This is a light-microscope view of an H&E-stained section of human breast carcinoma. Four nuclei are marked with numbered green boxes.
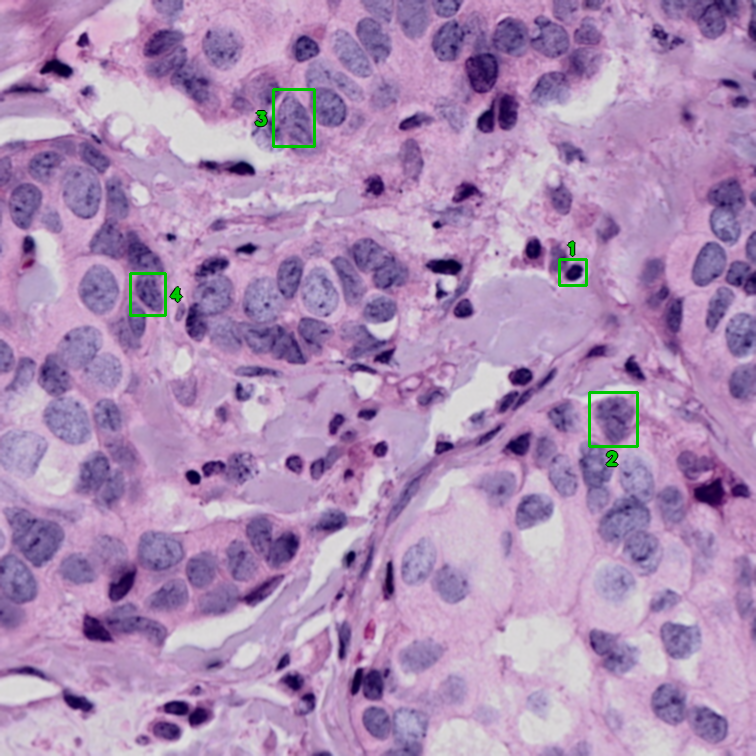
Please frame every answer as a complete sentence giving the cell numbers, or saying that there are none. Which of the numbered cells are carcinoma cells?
Marked by the numbers 2, 3 and 4 are cells that are carcinoma cells.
